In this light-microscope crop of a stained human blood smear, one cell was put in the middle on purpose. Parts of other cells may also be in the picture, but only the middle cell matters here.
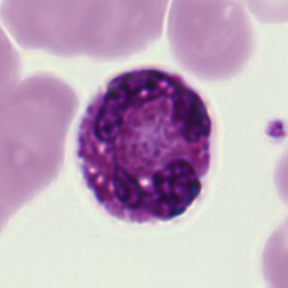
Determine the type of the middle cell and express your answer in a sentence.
As for the cell in the middle, it is an eosinophil.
